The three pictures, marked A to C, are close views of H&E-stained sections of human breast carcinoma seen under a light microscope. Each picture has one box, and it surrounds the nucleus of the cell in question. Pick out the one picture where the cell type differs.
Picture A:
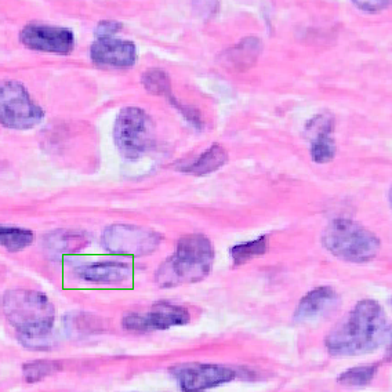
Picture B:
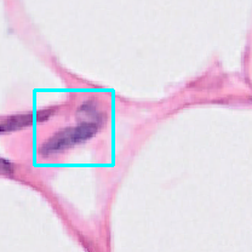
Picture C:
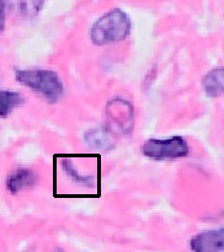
C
